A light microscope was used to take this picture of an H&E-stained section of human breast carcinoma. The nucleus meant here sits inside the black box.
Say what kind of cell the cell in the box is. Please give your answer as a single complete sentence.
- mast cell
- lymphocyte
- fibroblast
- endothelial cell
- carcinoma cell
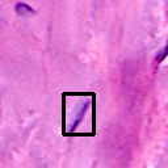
So far as cell type goes, the cell in the box is a fibroblast.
